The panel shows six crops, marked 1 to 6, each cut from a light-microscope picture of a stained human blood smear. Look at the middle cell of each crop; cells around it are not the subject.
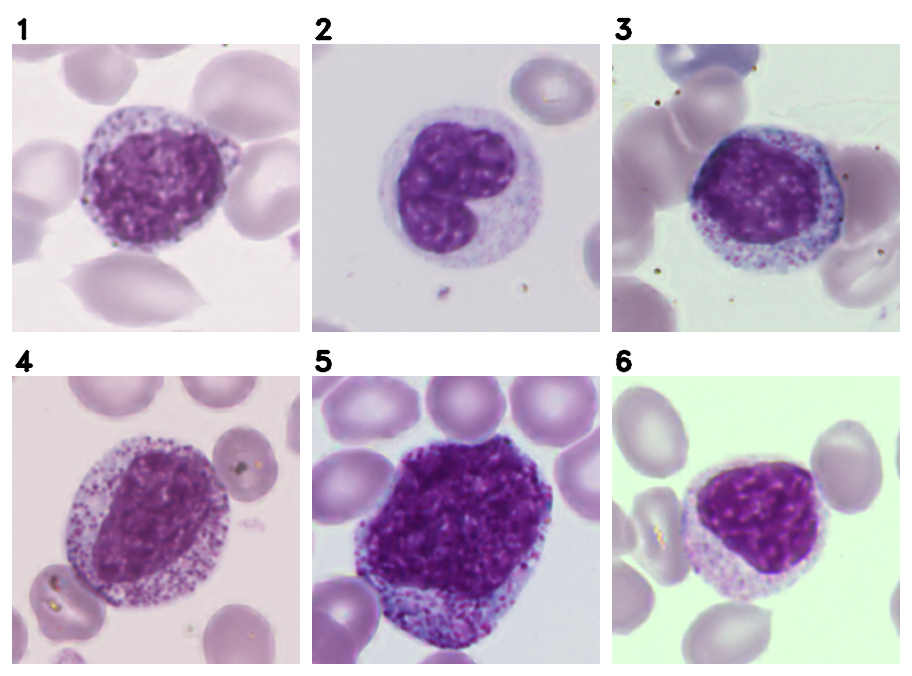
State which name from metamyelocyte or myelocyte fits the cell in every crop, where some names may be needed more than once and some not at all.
1: myelocyte
2: metamyelocyte
3: myelocyte
4: myelocyte
5: myelocyte
6: metamyelocyte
